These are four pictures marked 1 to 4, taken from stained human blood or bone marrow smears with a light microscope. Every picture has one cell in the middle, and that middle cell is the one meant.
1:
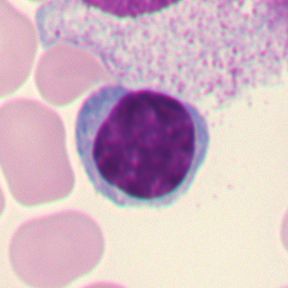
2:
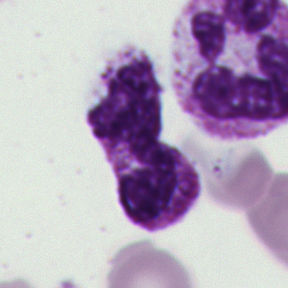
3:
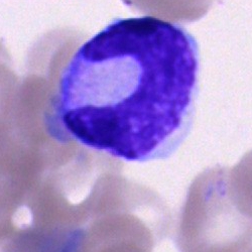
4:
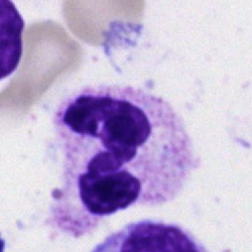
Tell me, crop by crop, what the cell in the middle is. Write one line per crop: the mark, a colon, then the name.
1: lymphocyte
2: segmented neutrophil
3: band neutrophil
4: segmented neutrophil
